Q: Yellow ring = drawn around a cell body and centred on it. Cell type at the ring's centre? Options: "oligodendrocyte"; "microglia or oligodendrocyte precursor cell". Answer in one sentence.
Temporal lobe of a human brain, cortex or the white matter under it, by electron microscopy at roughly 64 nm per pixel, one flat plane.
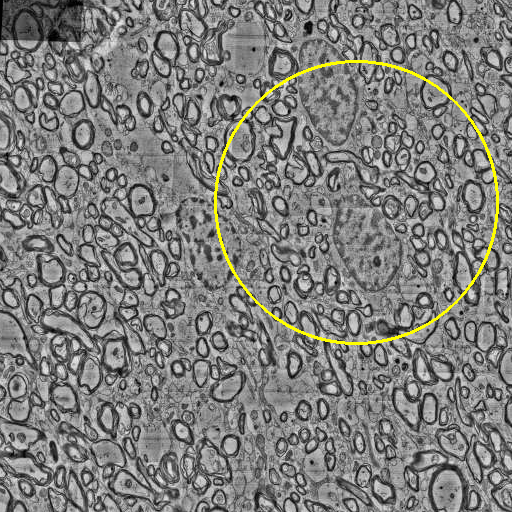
Centred in the ring is an oligodendrocyte.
